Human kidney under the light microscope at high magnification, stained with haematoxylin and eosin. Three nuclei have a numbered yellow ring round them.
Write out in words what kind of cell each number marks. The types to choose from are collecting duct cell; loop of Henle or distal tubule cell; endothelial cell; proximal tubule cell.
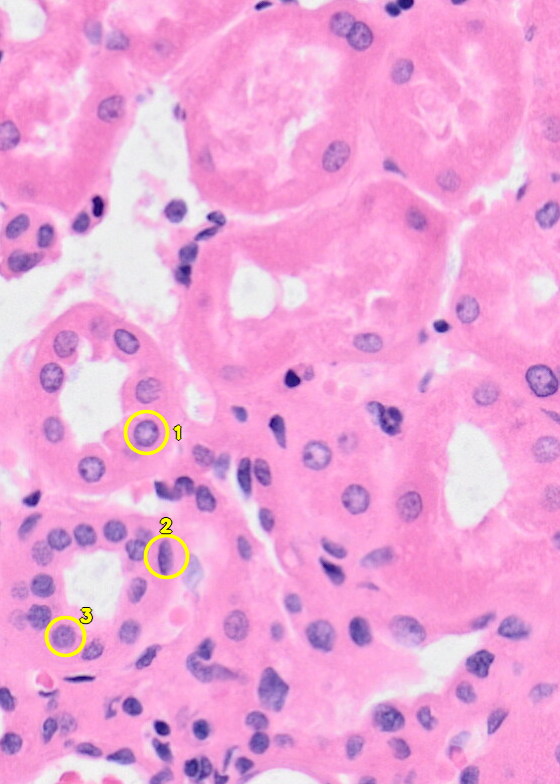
Cell 1 is a proximal tubule cell. Cells 2 and 3 are collecting duct cells.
